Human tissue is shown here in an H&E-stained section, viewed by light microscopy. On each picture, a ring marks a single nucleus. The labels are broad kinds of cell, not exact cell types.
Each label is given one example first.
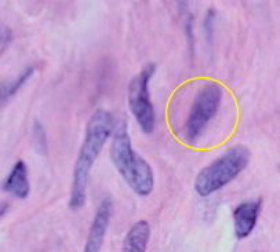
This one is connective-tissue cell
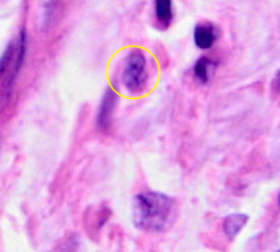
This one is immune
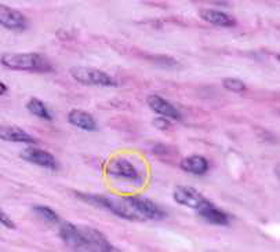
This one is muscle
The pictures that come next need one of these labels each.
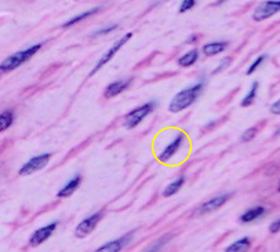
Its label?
muscle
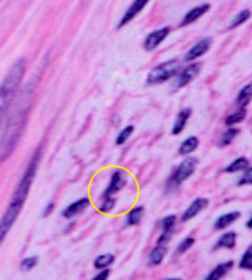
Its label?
muscle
